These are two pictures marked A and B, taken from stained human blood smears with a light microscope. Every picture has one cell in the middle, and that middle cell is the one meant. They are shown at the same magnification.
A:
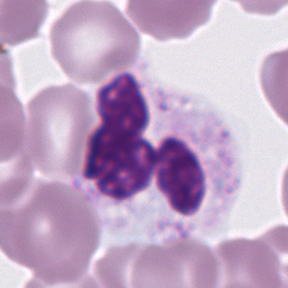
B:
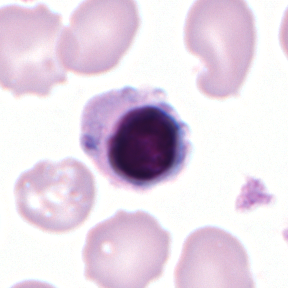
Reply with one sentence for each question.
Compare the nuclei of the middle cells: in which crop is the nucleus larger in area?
It is the nucleus in crop A, about 2.5 times as large in area as the one in crop B.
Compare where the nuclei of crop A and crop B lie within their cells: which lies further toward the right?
It is the nucleus in crop B that lies further toward the right of its cell.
